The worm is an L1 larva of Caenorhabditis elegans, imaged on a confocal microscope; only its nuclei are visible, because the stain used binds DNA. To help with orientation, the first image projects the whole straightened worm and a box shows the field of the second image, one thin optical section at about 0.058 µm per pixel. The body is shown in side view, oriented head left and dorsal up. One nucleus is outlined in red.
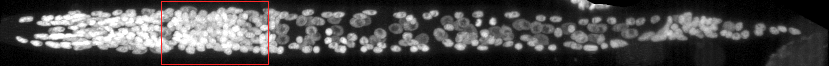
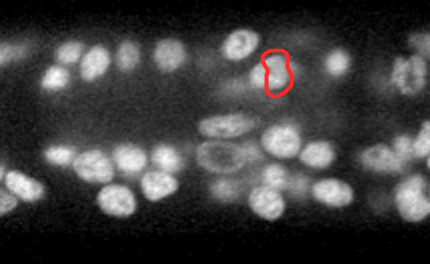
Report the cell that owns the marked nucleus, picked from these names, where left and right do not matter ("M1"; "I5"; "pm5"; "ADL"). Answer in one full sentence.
It is the nucleus of pm5, a pharyngeal muscle cell.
